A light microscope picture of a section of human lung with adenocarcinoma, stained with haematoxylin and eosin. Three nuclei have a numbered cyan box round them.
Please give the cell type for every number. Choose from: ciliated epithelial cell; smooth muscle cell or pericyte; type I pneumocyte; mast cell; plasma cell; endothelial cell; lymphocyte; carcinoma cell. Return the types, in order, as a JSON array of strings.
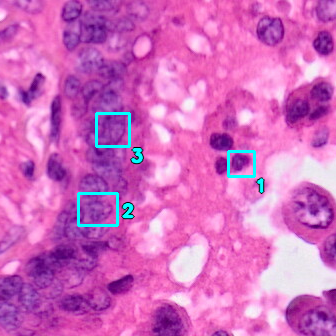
["lymphocyte", "ciliated epithelial cell", "ciliated epithelial cell"]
